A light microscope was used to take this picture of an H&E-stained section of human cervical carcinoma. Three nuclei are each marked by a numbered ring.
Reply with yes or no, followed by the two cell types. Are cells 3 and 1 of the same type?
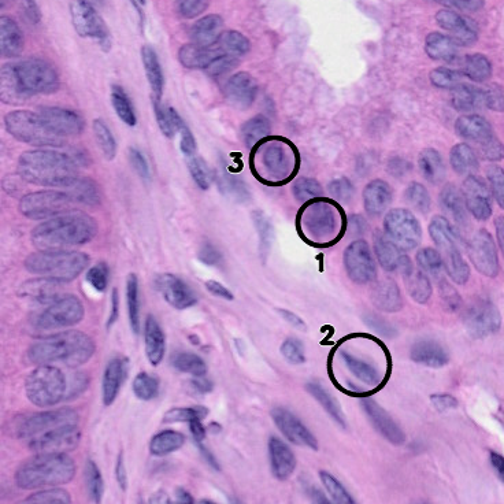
Yes, going by number, cells 3 and 1 are both secretory epithelial cells.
